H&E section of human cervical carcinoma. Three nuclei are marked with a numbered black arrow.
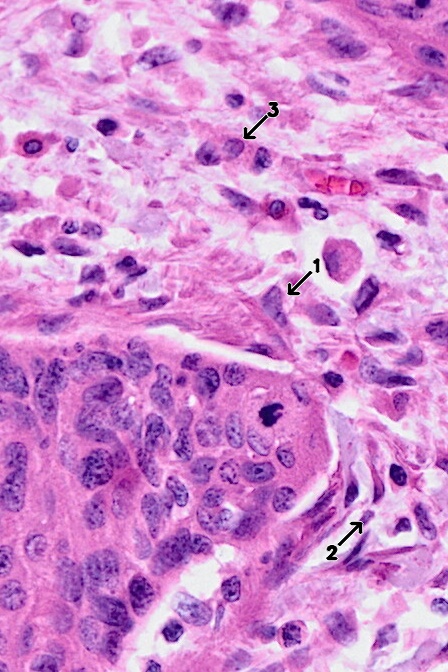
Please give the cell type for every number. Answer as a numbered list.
1. fibroblast
2. fibroblast
3. macrophage or monocyte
